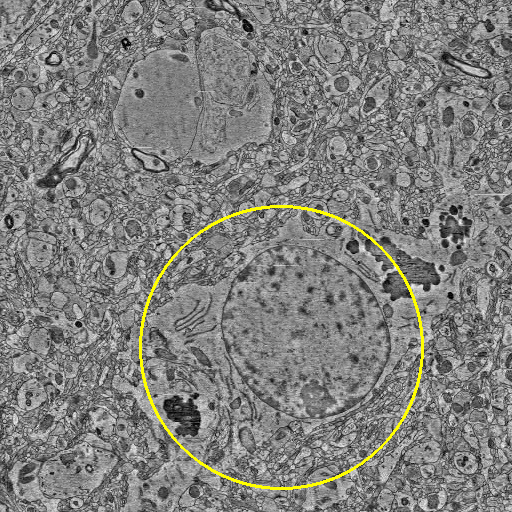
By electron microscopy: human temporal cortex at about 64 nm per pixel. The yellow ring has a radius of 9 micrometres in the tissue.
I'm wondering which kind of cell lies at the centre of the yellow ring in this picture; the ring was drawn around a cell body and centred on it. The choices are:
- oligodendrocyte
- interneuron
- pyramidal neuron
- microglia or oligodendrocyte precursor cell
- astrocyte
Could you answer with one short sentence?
At the centre of the ring lies an astrocyte.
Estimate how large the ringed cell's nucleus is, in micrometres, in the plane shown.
About 11 micrometres across in this plane, for the nucleus.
